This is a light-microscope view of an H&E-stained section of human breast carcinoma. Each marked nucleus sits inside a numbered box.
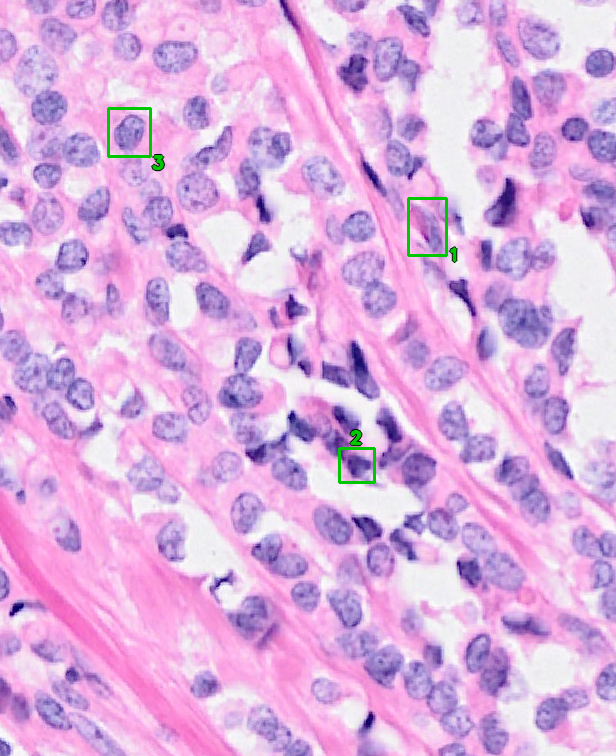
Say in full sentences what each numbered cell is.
Cell 1 is an endothelial cell, cell 2 is a carcinoma cell and cell 3 is a carcinoma cell.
